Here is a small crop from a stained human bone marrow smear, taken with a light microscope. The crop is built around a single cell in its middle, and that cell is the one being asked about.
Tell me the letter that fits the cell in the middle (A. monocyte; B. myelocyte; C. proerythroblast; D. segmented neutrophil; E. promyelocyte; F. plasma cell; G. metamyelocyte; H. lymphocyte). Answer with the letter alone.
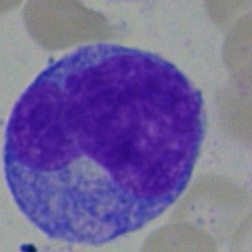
E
